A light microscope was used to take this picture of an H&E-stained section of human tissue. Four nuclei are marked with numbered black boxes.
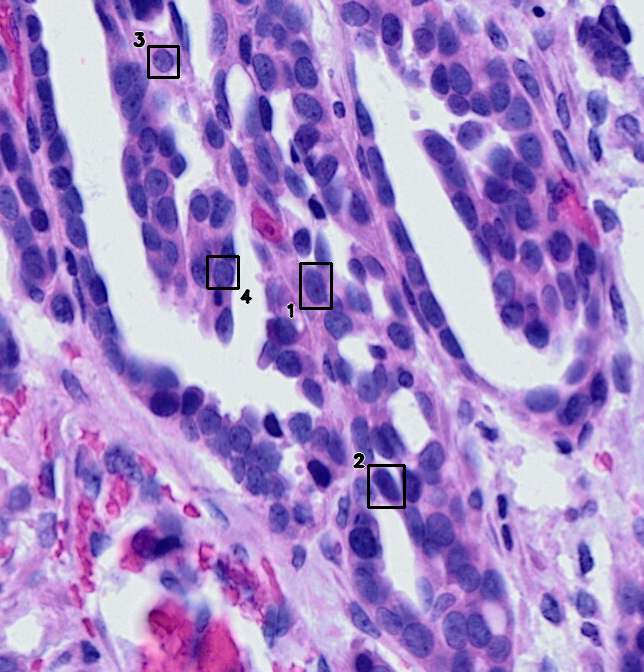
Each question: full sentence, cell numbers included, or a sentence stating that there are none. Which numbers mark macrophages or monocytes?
Cell number 3 alone is a macrophage or monocyte; the rest are not.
